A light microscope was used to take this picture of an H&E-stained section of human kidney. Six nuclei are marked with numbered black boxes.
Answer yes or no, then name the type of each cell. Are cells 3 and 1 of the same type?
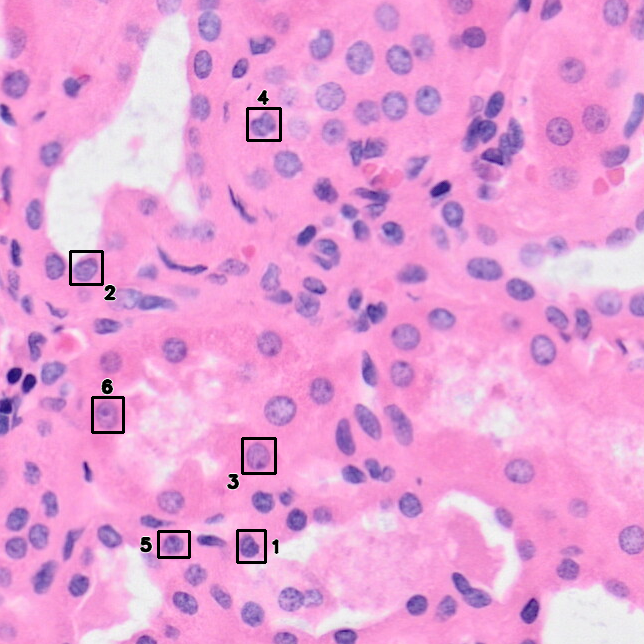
No, in contrast to cell 1, which is a loop of Henle or distal tubule cell, cell 3 is a proximal tubule cell.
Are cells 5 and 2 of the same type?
Yes, cells 5 and 2 are both to be classed as loop of Henle or distal tubule cells.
